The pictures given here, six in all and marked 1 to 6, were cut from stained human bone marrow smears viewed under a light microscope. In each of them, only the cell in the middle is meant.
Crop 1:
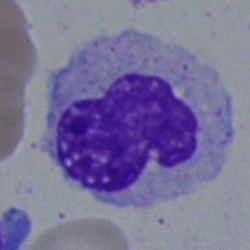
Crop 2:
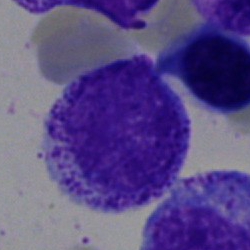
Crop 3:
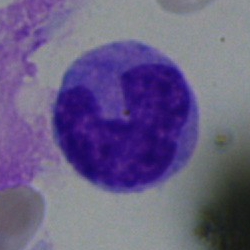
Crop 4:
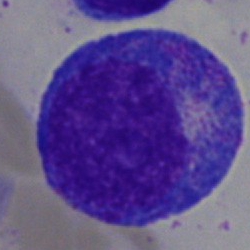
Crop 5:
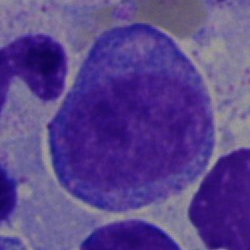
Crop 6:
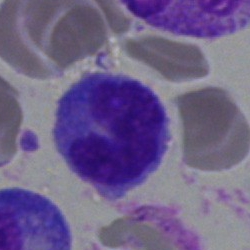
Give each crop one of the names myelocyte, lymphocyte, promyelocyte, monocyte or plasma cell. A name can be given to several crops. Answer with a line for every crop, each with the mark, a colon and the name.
1: monocyte
2: myelocyte
3: monocyte
4: promyelocyte
5: promyelocyte
6: monocyte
